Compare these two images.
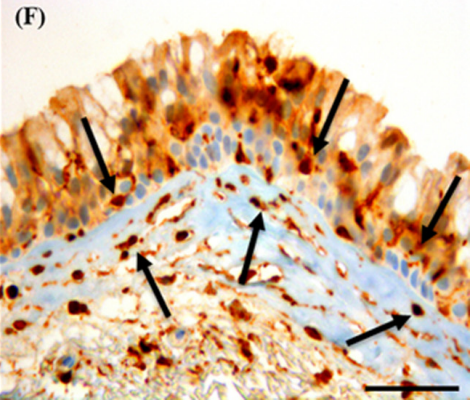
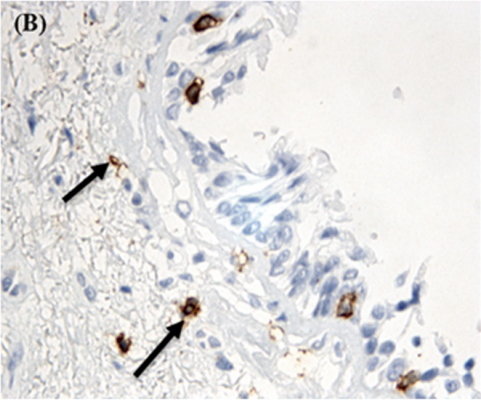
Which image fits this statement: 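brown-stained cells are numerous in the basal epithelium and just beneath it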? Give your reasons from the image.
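First image: many strongly brown cells crowd the base of the epithelium and the band beneath it.
Answer: the first image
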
